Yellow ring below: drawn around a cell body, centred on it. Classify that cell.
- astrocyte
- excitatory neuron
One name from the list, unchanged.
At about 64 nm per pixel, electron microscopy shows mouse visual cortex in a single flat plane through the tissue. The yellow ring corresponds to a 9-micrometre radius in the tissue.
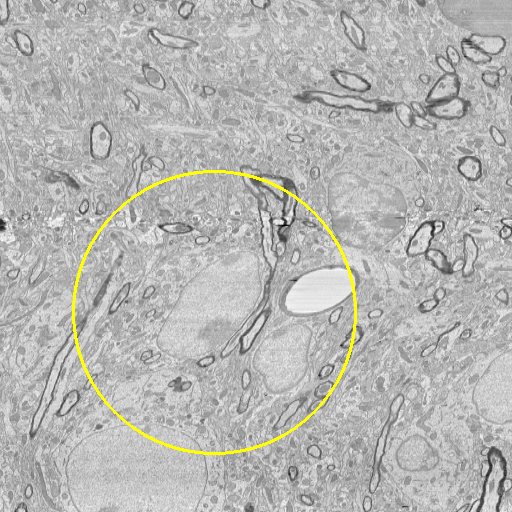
astrocyte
